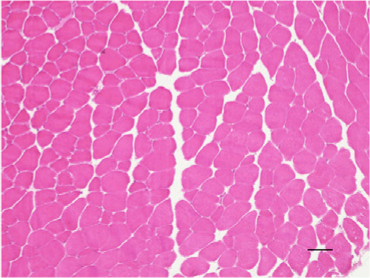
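This is a cross-section of skeletal muscle in which the myofibers are cut across as pink, polygonal to rounded profiles of fairly even color. Instead of lying packed tightly together, the fibers are pulled apart into groups by wide white clefts. Narrow white gaps also open between many single fibers, so the spaces between them look much larger than in a tightly packed section.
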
